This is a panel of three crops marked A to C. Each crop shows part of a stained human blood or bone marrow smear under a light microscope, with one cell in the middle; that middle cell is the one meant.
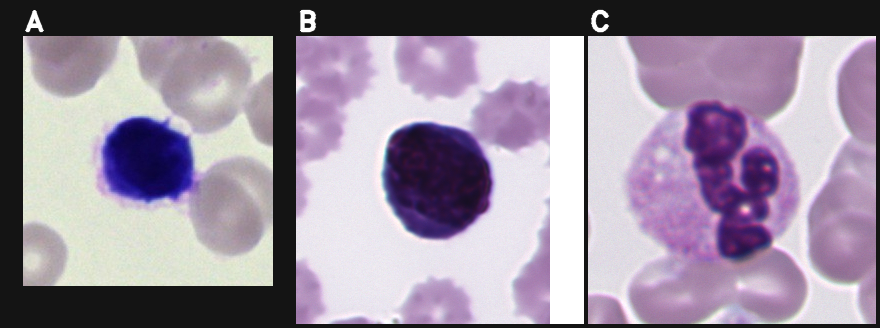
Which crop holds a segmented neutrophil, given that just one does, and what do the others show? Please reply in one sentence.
Crop C proves to be a segmented neutrophil, while crop A is a lymphocyte and crop B is an erythroblast.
